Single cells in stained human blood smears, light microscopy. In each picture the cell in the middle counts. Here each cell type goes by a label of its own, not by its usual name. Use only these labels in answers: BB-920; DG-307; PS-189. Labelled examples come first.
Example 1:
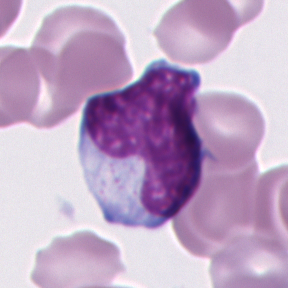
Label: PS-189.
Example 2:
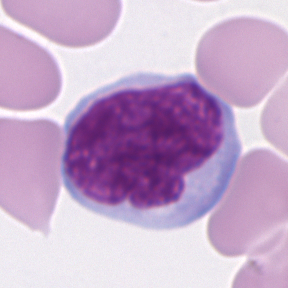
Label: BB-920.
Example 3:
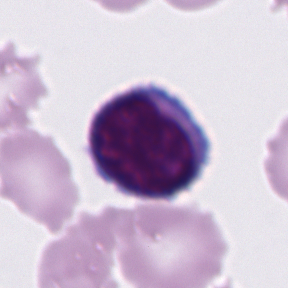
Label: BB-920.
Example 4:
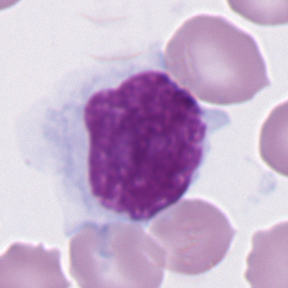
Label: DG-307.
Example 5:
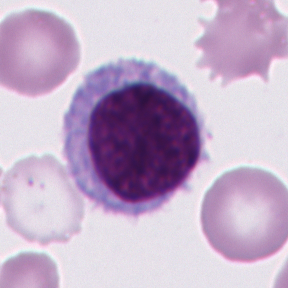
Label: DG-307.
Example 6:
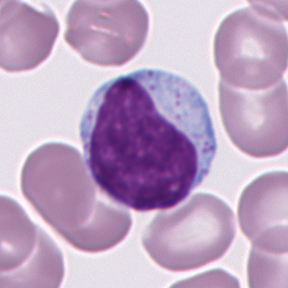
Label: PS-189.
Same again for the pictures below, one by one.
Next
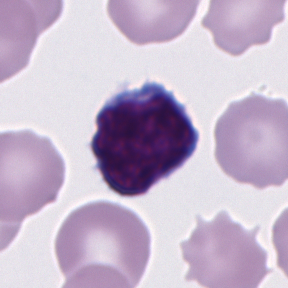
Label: BB-920.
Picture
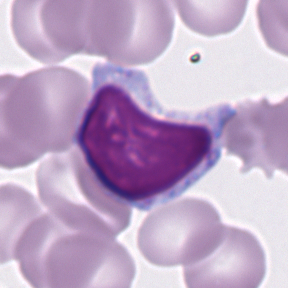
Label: BB-920.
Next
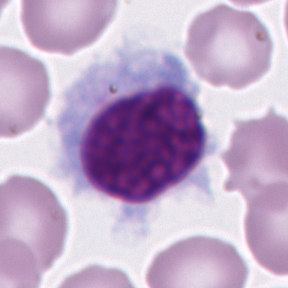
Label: DG-307.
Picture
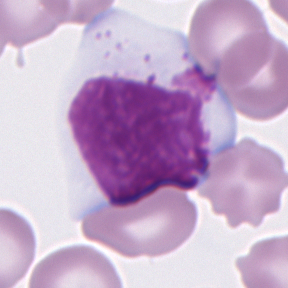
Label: PS-189.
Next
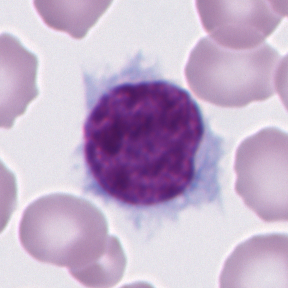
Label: DG-307.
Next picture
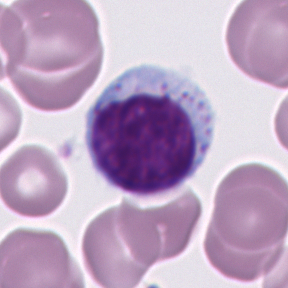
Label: PS-189.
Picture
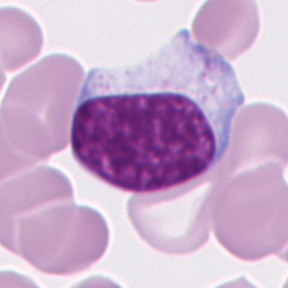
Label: PS-189.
